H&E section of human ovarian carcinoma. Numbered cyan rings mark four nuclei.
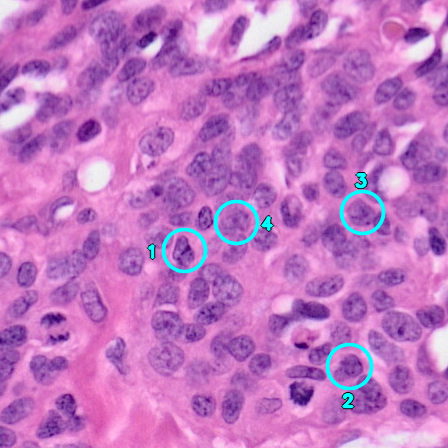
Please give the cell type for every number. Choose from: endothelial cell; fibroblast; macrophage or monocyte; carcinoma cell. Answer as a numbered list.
1. macrophage or monocyte
2. carcinoma cell
3. carcinoma cell
4. carcinoma cell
